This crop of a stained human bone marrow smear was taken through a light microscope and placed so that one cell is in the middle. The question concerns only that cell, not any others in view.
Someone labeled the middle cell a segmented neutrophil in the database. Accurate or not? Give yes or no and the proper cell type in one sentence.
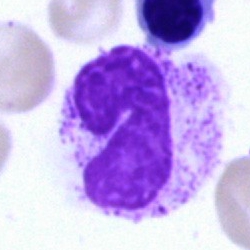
No, the central cell is not a segmented neutrophil; it is a band neutrophil.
